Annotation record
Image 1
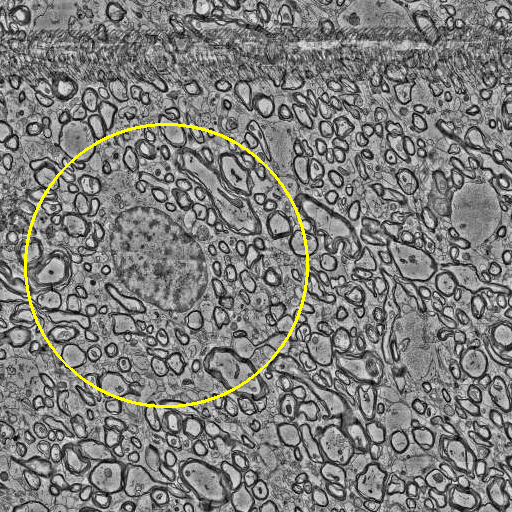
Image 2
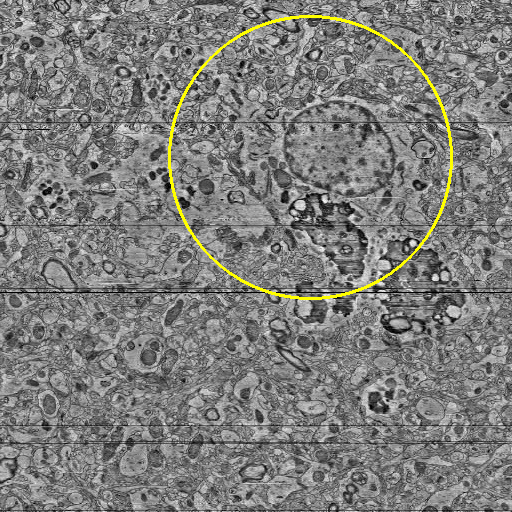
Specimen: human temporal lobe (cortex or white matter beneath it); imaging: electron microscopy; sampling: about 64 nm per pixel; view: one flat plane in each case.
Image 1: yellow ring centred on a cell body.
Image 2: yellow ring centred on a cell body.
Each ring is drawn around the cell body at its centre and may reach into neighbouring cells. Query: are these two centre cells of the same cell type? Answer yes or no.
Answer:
no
